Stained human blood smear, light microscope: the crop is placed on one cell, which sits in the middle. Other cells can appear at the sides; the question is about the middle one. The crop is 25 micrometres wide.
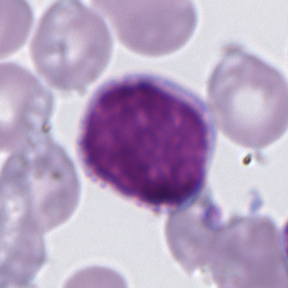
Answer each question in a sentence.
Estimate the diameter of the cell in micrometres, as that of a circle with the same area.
About 12 micrometres: that is the cell's diameter.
